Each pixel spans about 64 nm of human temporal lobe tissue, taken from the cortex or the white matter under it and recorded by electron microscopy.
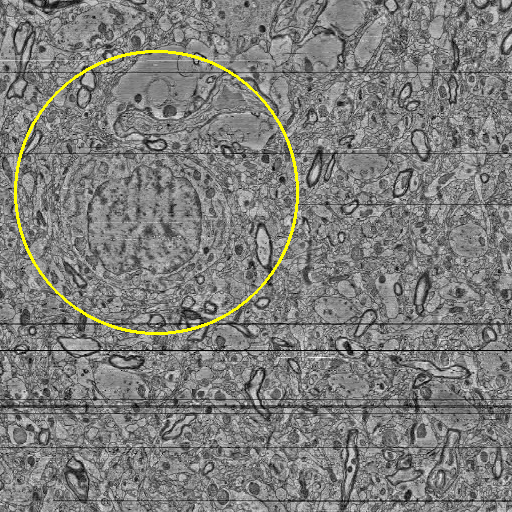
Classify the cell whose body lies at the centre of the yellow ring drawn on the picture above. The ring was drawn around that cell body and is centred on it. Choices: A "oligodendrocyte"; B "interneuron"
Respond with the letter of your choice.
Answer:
B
